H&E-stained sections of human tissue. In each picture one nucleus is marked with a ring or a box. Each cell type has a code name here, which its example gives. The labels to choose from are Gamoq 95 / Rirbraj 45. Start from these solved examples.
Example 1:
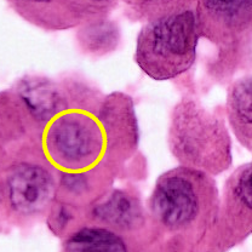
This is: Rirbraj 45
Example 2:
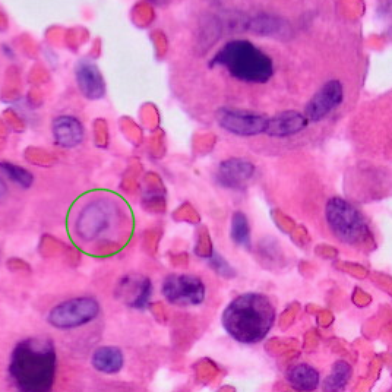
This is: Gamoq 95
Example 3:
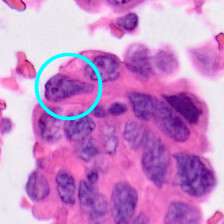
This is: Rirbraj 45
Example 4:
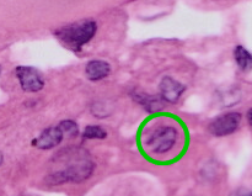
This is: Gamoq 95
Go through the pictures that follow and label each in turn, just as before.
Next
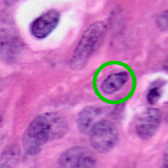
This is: Gamoq 95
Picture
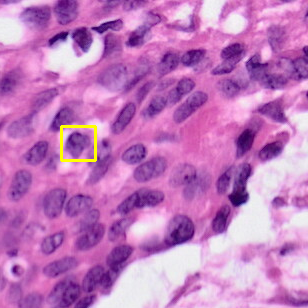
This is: Gamoq 95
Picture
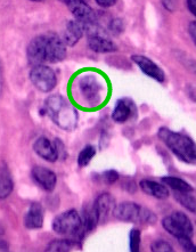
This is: Gamoq 95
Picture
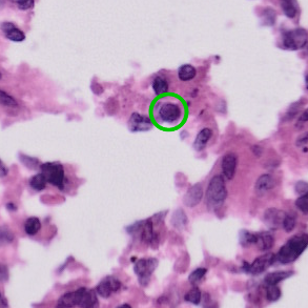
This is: Gamoq 95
